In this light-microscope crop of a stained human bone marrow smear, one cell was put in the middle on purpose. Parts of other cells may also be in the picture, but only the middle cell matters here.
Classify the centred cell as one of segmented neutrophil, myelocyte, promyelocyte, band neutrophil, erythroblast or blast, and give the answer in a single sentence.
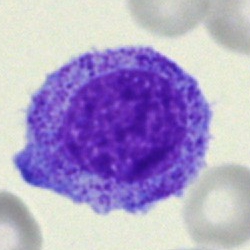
The cell centred in this crop is categorized as a promyelocyte.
